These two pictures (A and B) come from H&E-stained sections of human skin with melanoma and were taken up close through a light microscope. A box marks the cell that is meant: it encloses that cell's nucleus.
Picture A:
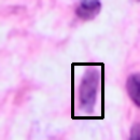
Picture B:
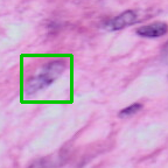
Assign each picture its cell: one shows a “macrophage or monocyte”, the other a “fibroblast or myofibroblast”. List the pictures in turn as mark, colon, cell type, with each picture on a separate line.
A: macrophage or monocyte
B: fibroblast or myofibroblast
